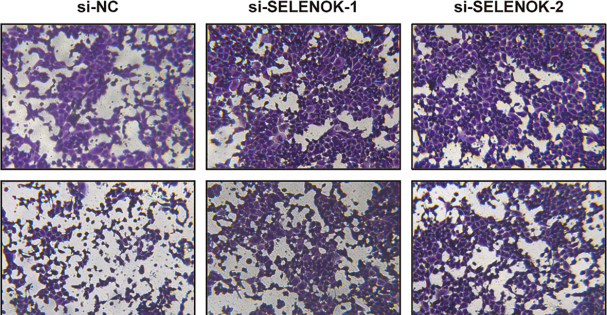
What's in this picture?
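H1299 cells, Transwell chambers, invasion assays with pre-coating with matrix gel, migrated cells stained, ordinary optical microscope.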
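The cells are small and rounded to polygonal, with darker purple nuclei in a paler purple cytoplasm. They lie packed together in irregular sheets and clusters, with cell borders touching. Between the clusters are pale grey, cell-free gaps of varying size. How much of each field the cells cover differs from field to field, from scattered islands to nearly continuous sheets.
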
